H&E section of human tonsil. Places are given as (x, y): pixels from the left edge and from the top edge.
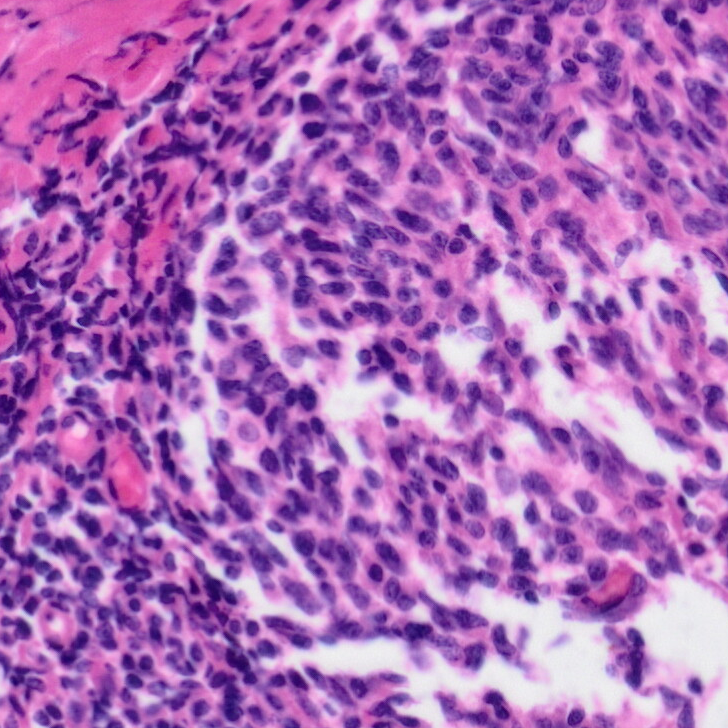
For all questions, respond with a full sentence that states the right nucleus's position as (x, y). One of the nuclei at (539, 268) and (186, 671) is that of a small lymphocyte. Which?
It is the nucleus at (186, 671) that belongs to a small lymphocyte.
